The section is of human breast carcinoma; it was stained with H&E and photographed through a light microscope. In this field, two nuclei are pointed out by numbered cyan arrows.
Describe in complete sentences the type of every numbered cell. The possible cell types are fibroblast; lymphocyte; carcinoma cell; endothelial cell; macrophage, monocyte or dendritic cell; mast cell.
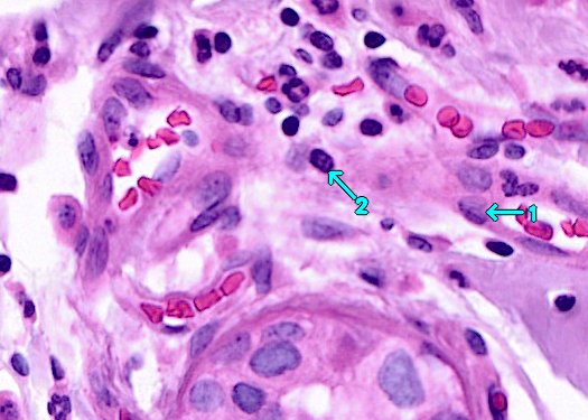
Cell 1 is an endothelial cell. Cell 2 is a lymphocyte.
